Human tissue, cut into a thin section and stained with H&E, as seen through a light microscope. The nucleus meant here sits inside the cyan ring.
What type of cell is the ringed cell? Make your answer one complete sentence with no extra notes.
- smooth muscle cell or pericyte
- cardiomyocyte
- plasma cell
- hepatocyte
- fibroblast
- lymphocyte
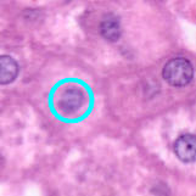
Placed in its cell category, the ringed cell is a hepatocyte.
